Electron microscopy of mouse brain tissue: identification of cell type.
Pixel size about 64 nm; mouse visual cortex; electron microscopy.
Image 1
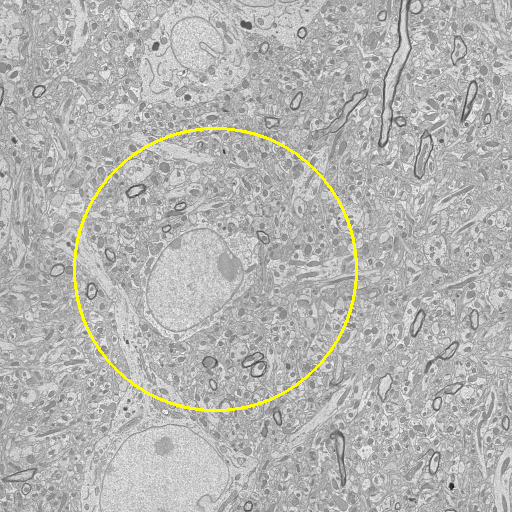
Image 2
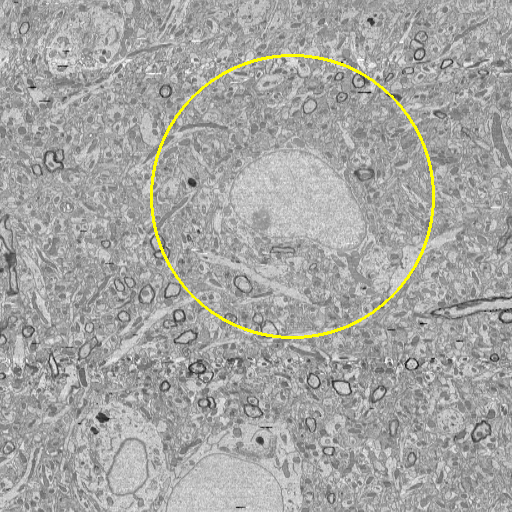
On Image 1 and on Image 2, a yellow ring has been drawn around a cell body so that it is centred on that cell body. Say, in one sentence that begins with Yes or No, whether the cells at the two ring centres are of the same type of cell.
Yes, both cells are the same type of cell.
